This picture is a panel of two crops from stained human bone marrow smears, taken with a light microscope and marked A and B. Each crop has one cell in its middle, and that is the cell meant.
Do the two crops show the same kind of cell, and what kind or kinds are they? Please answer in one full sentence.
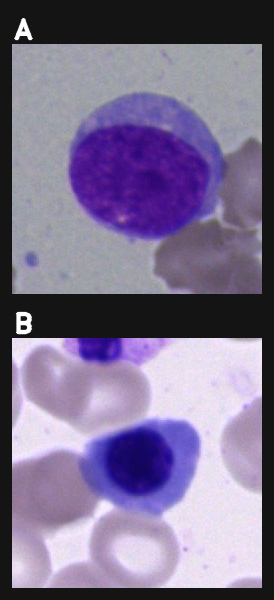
No, it is in crop A that a blast is shown, and in crop B that an erythroblast is shown.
